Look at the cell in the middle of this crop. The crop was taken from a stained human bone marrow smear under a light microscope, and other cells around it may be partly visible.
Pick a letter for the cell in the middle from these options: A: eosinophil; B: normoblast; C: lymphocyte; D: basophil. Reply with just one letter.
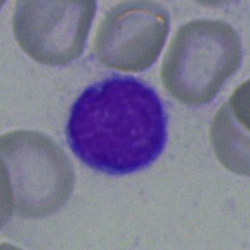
C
